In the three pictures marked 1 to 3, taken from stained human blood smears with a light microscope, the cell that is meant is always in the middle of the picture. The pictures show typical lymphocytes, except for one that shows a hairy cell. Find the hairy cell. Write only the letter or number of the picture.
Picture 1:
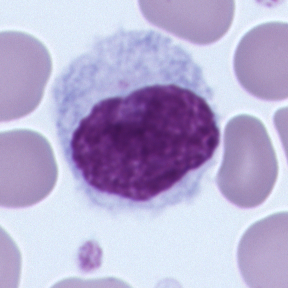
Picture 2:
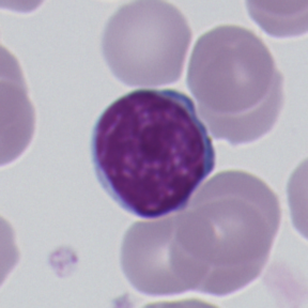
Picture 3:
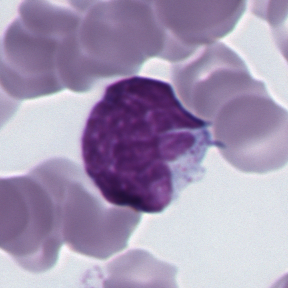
1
